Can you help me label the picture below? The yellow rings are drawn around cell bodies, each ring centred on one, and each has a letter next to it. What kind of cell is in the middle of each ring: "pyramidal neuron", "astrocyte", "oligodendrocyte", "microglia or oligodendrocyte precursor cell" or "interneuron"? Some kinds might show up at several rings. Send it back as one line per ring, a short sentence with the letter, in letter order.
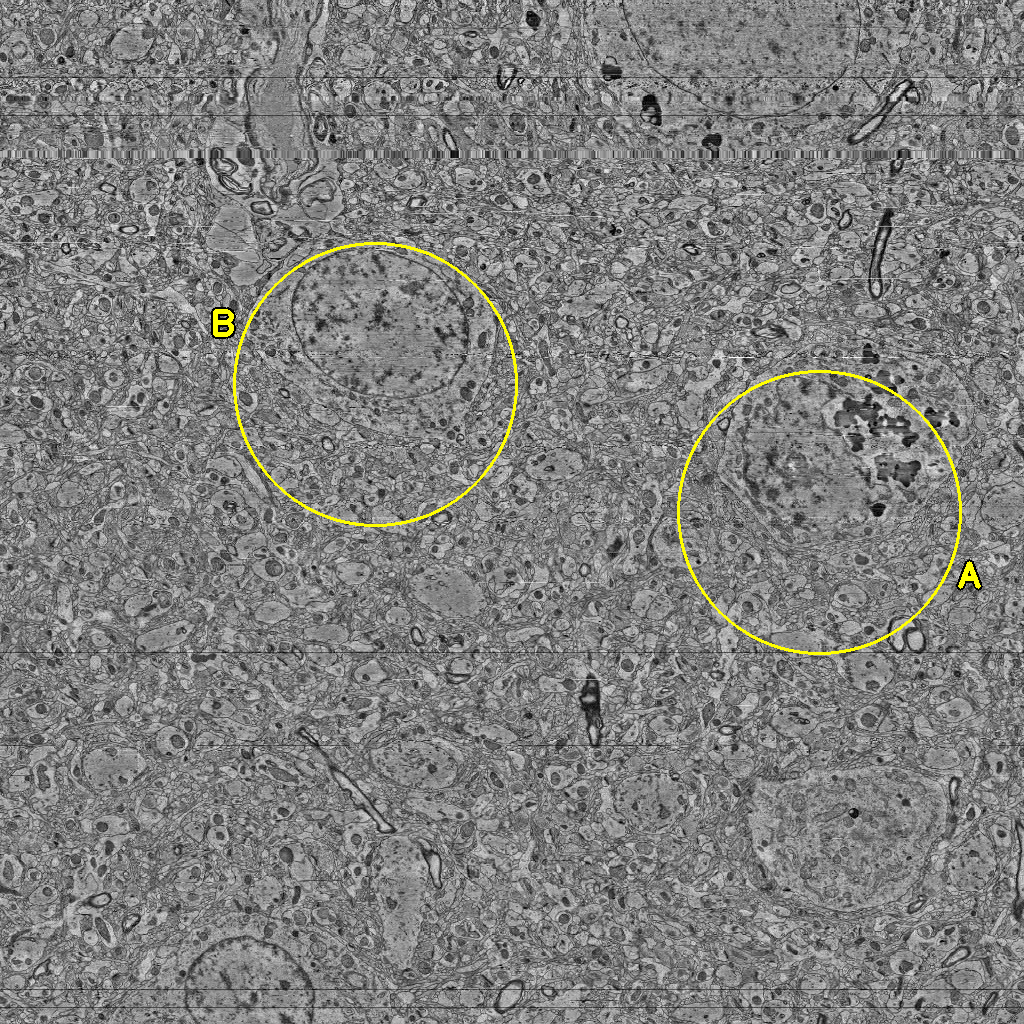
Ring A has an interneuron in the middle.
Ring B has a pyramidal neuron in the middle.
